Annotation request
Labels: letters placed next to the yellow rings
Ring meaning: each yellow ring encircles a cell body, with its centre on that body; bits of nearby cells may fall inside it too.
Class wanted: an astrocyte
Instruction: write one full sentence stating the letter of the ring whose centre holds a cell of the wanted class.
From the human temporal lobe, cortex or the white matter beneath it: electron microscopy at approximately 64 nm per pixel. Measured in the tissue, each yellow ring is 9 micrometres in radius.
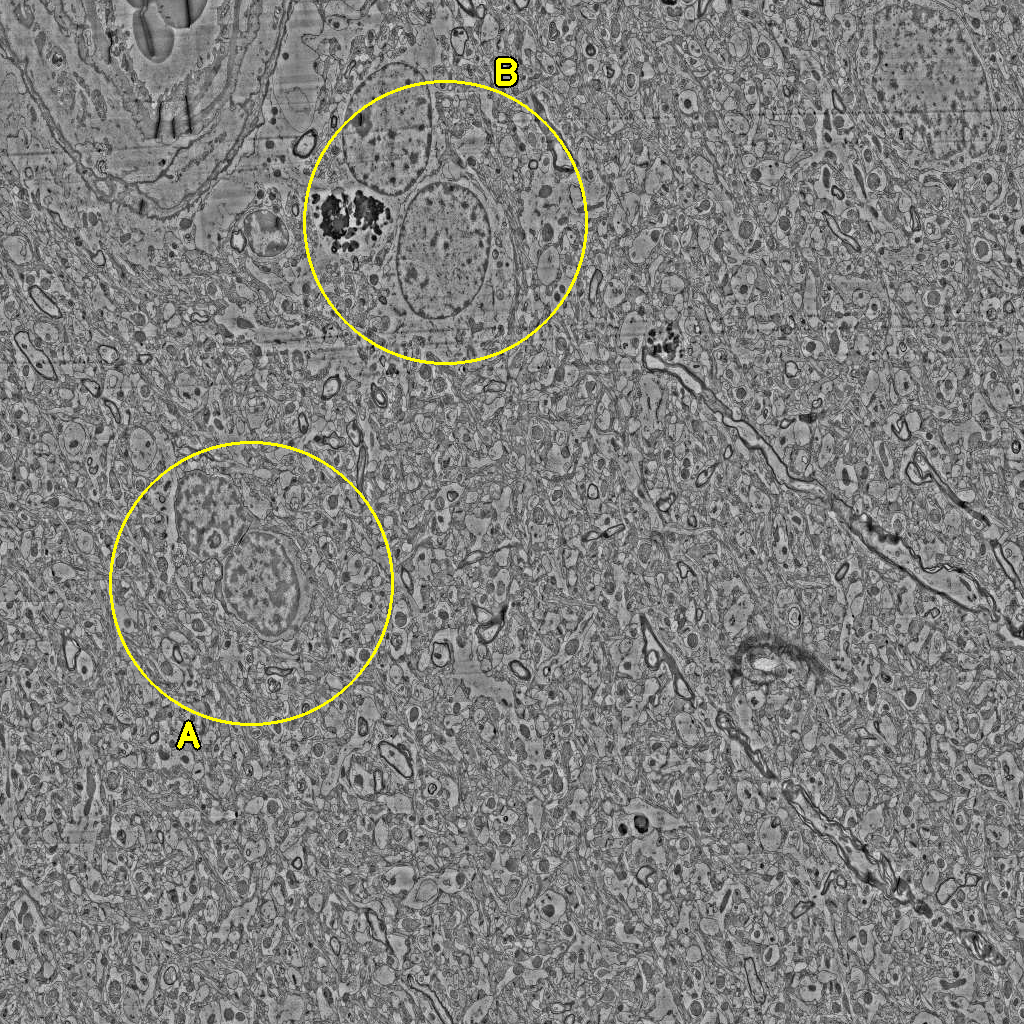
For this annotation, a cell of that kind sits at the centre of ring B.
